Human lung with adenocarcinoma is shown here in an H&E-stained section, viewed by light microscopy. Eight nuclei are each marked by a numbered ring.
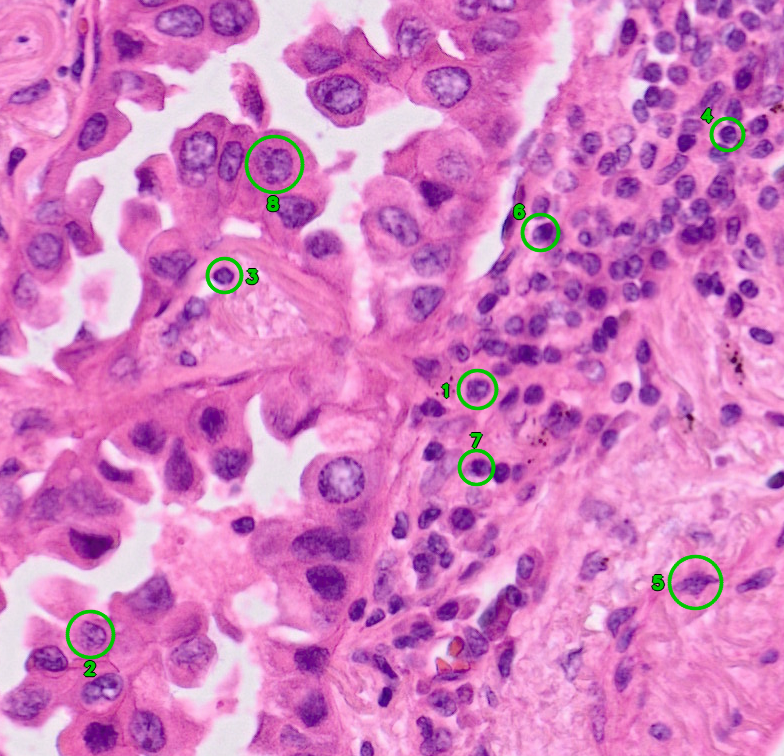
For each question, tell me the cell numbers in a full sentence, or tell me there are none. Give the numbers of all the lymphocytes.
Marked by the numbers 1, 3, 4, 6 and 7 are cells that are lymphocytes.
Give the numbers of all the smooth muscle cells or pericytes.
Only the cell marked 5 is a smooth muscle cell or pericyte.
